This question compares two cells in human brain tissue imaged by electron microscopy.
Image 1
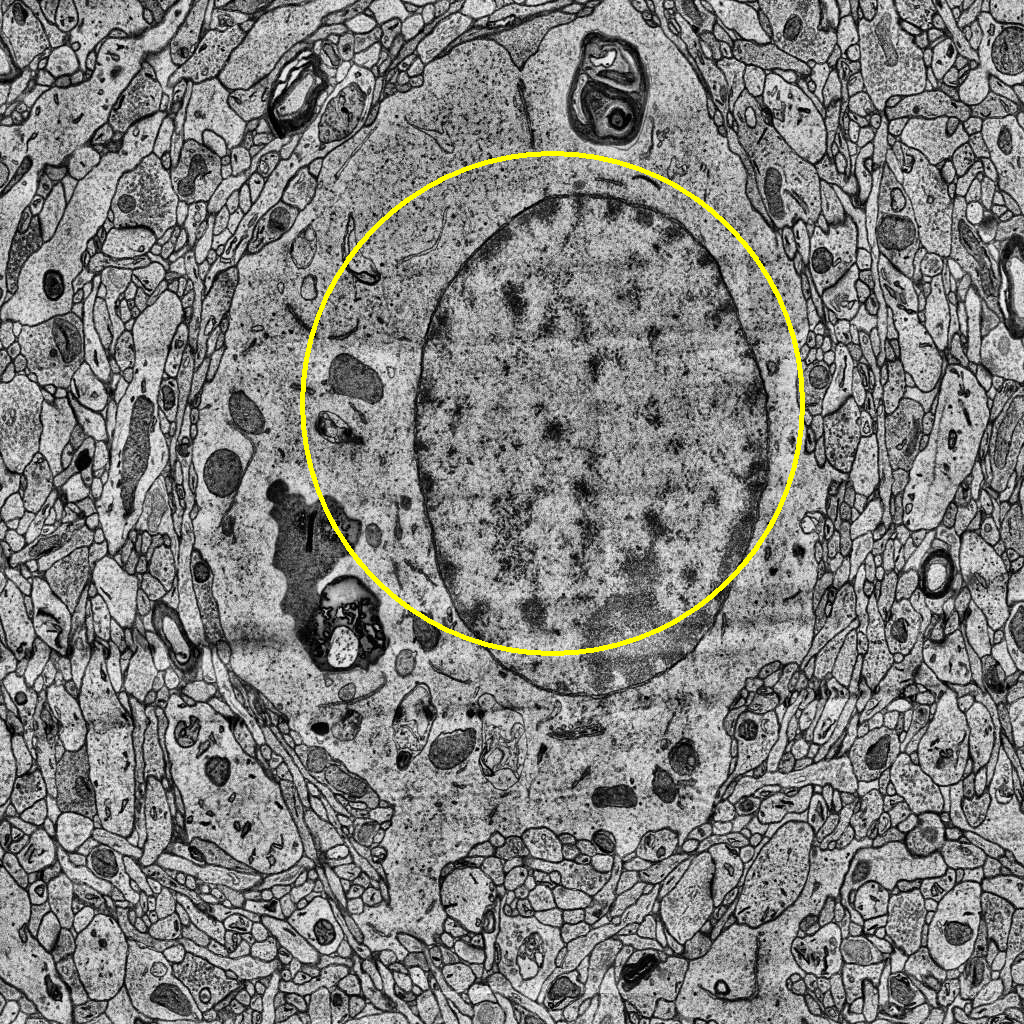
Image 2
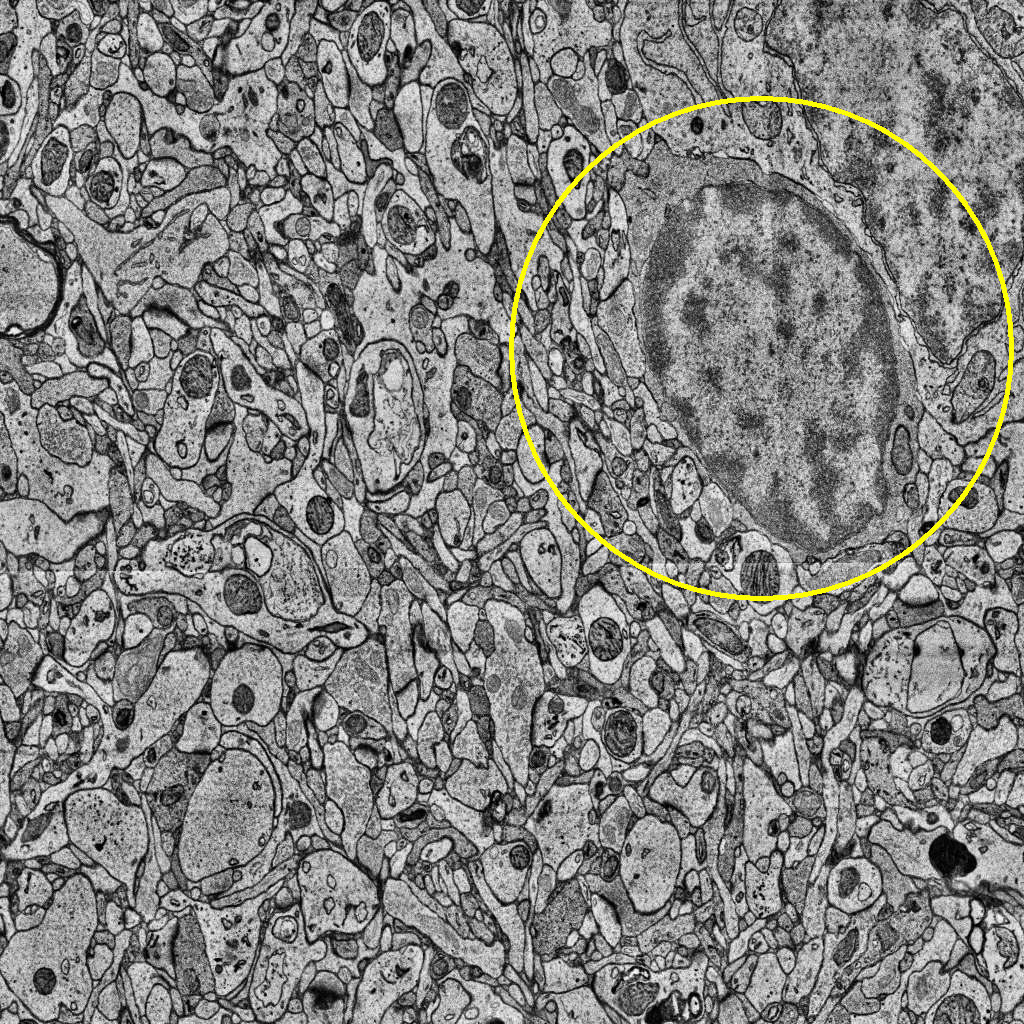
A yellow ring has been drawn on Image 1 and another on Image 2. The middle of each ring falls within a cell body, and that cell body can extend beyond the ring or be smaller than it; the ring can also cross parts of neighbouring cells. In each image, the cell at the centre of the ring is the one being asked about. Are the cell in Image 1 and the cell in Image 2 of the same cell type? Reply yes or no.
no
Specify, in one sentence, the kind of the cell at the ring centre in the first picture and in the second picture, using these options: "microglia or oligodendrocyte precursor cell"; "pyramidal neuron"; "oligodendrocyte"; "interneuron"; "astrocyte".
In the first picture we have an astrocyte, and in the second, an oligodendrocyte.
